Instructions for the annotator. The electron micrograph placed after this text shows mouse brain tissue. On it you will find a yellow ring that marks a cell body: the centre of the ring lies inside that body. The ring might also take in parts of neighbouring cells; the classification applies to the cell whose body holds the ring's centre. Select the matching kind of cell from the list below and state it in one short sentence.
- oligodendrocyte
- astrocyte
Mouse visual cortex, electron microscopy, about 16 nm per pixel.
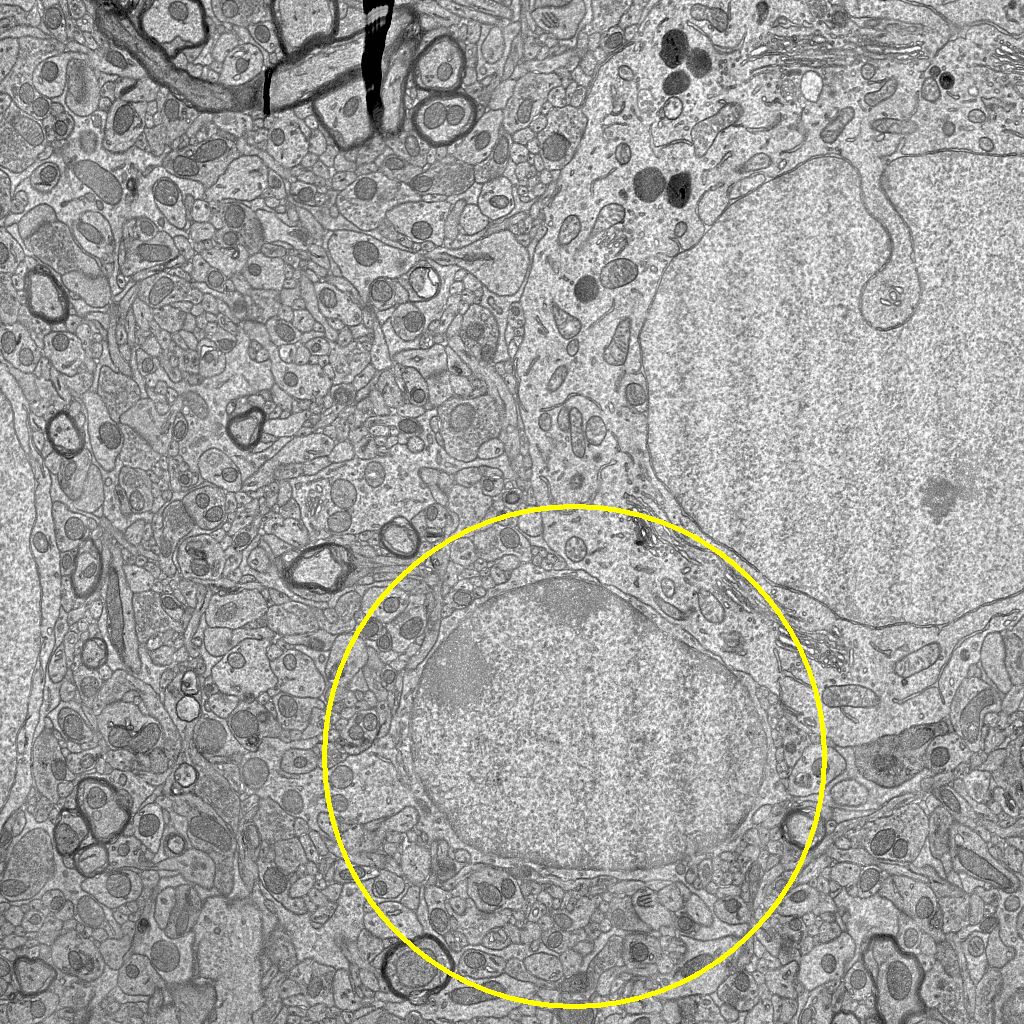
The centre of the ring lies in the cell body of an astrocyte.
